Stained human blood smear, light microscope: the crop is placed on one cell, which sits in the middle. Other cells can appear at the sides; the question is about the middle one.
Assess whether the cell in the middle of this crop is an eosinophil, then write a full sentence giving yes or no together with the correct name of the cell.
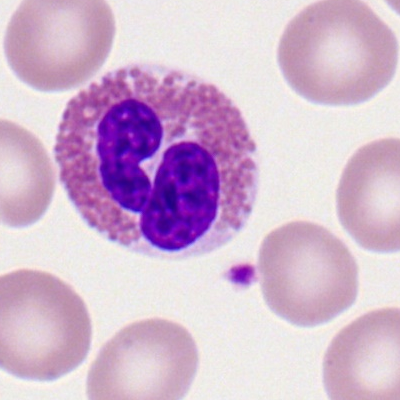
Yes, an eosinophil occupies the middle of the crop.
